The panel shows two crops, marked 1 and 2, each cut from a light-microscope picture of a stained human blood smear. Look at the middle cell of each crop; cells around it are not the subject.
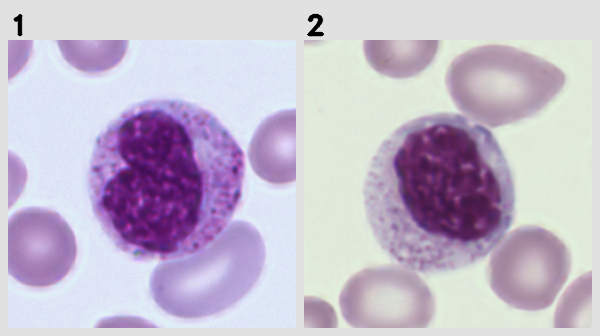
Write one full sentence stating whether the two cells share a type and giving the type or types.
No, a metamyelocyte is the cell in crop 2, and crop 1 contains a band neutrophil.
